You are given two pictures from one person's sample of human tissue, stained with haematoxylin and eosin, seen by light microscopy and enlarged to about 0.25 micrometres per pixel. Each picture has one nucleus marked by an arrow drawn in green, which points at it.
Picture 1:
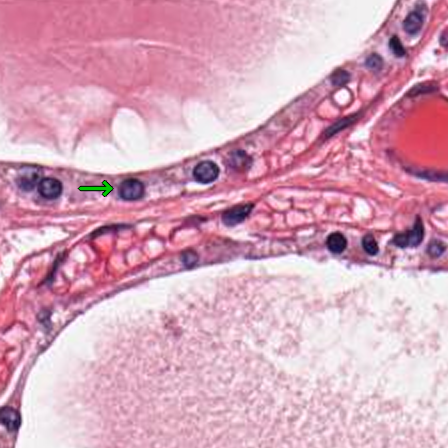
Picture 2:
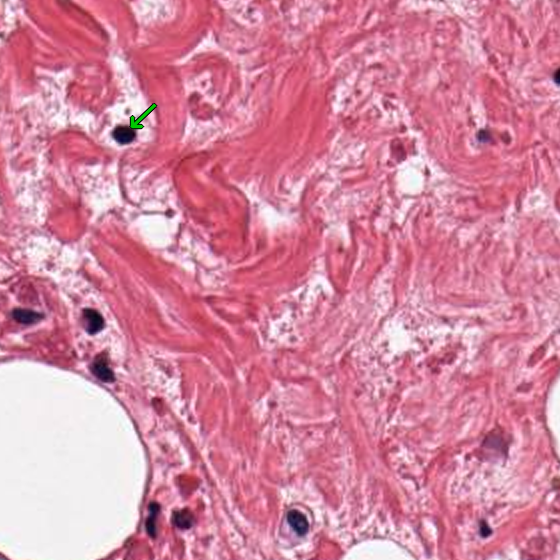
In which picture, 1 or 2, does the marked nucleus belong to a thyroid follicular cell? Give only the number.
1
